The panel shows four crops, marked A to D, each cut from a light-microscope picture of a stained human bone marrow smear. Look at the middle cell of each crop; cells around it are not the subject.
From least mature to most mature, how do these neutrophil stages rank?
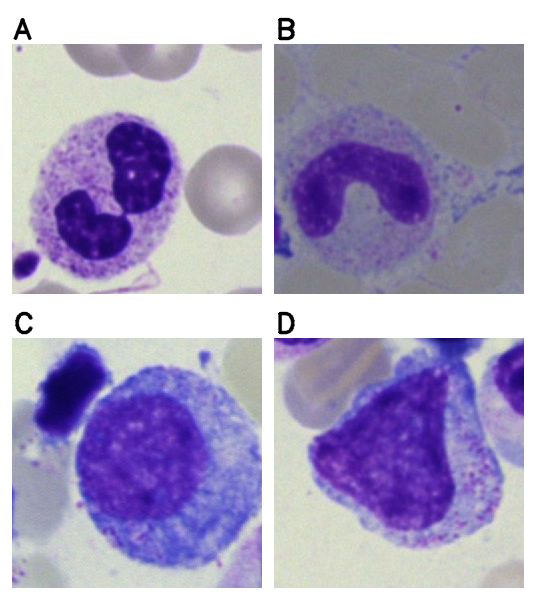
C, D, B, A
